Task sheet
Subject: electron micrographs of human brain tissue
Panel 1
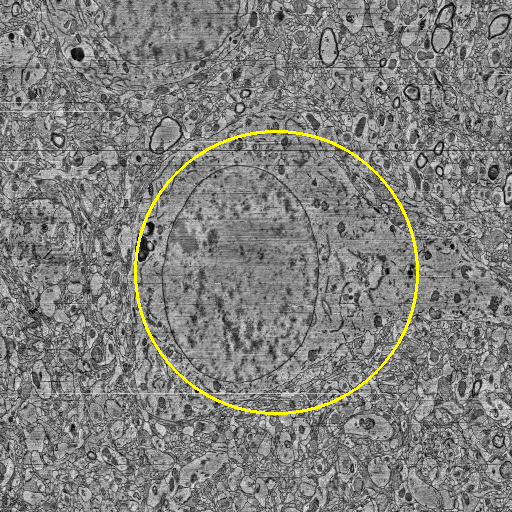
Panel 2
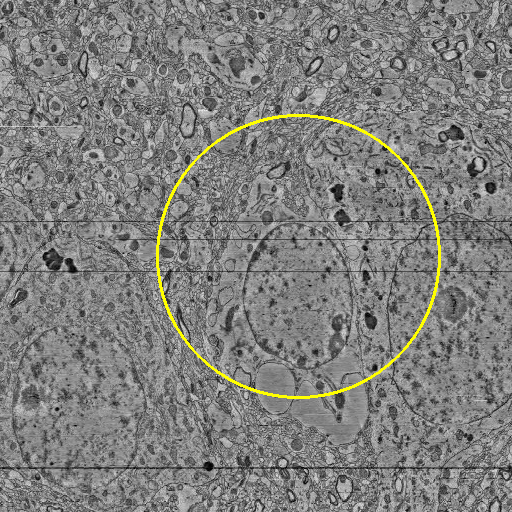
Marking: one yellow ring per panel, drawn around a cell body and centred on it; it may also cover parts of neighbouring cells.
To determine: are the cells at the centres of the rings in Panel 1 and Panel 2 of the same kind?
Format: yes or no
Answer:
no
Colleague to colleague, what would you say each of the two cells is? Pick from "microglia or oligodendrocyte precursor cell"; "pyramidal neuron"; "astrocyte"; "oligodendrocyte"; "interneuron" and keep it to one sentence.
The cell in the first picture is a pyramidal neuron; the second picture's cell is an astrocyte.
